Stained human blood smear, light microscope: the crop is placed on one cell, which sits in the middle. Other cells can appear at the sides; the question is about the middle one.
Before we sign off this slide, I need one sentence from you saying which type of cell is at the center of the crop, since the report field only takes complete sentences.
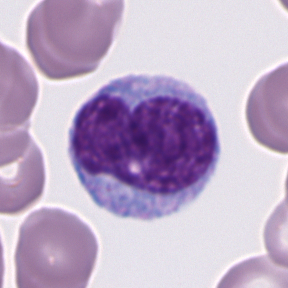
In short, the cell at the center is a monocyte.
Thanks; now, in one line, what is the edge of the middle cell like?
Its surface contour is regular and smooth, without any protrusions.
